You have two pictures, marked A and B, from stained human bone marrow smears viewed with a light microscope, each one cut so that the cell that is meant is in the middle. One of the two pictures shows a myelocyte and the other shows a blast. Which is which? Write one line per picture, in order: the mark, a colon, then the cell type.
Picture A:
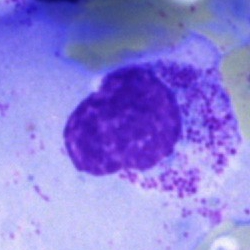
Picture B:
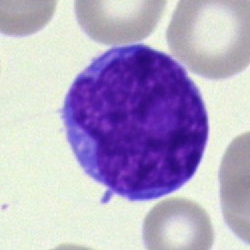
A: myelocyte
B: blast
